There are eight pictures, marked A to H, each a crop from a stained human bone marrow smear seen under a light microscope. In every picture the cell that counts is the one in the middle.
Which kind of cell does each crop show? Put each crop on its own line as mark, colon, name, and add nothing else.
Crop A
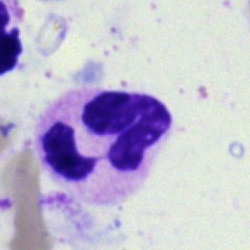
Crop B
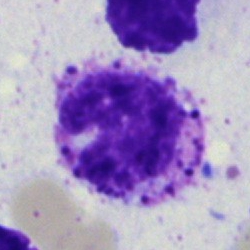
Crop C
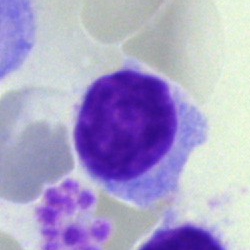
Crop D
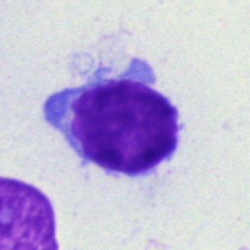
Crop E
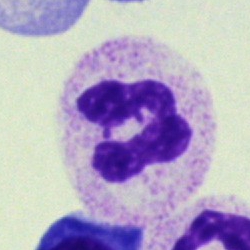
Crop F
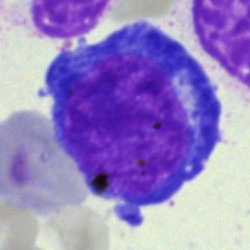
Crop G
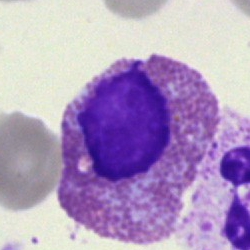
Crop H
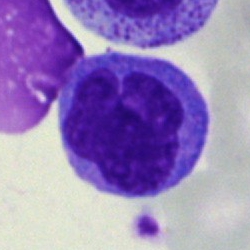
A: segmented neutrophil
B: basophil
C: hairy cell
D: lymphocyte
E: segmented neutrophil
F: proerythroblast
G: eosinophil
H: monocyte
